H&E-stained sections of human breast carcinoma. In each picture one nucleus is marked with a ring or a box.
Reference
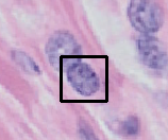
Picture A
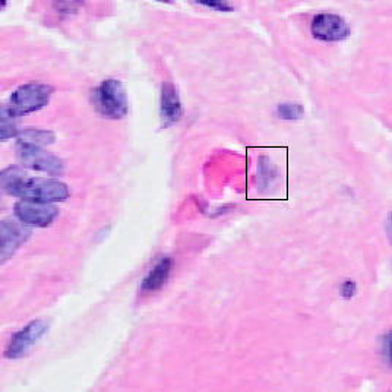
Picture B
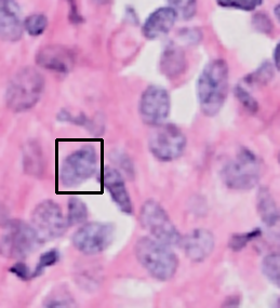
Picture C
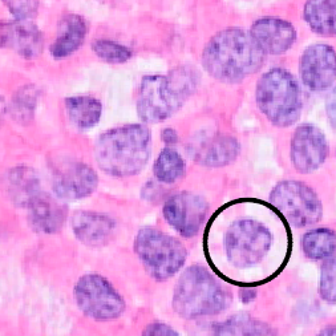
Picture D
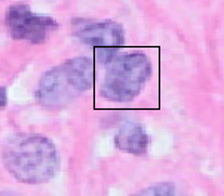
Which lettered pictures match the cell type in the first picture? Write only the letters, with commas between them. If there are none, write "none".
B, C, D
